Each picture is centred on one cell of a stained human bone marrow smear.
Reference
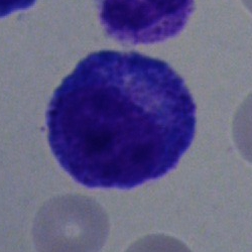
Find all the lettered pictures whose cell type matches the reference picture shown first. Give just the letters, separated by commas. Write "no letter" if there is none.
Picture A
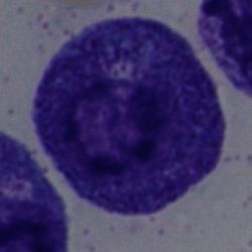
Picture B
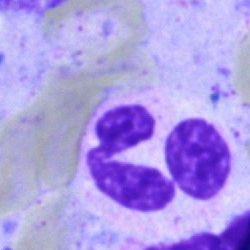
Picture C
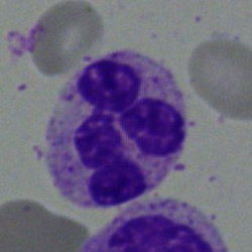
A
